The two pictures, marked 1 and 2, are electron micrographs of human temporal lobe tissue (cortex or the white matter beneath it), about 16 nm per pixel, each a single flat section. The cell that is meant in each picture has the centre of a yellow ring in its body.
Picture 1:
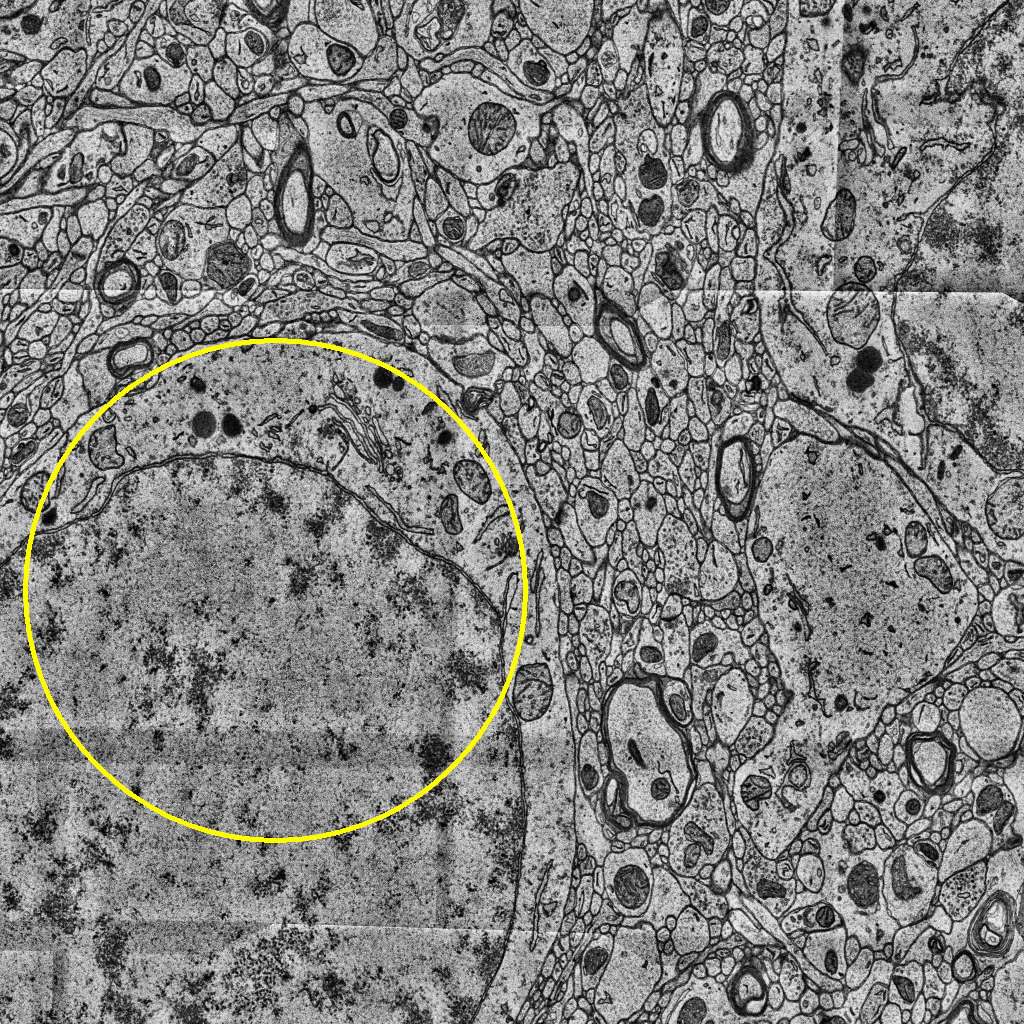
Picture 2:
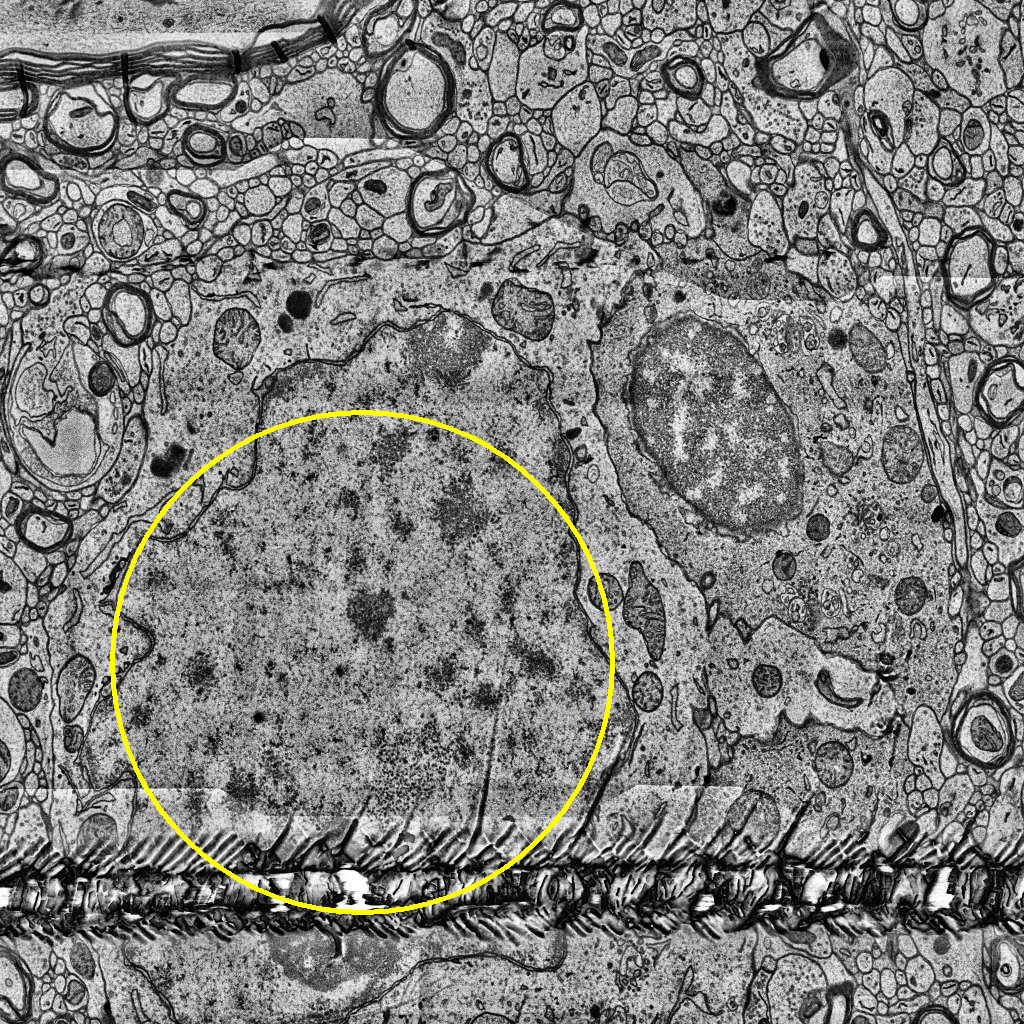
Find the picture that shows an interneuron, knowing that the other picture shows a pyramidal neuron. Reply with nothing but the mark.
2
